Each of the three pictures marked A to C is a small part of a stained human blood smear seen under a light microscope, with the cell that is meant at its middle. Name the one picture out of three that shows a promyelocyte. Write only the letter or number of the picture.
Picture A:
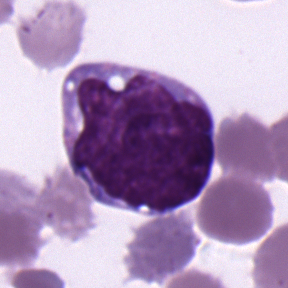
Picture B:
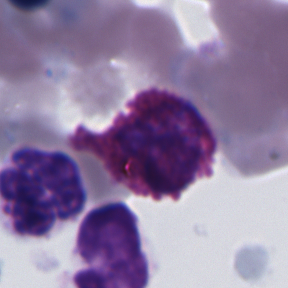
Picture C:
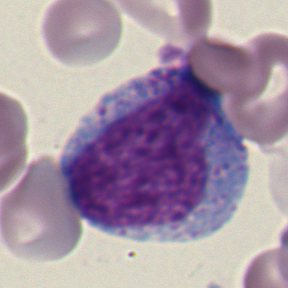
C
